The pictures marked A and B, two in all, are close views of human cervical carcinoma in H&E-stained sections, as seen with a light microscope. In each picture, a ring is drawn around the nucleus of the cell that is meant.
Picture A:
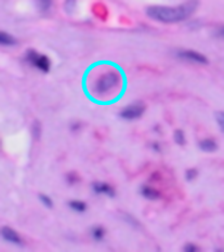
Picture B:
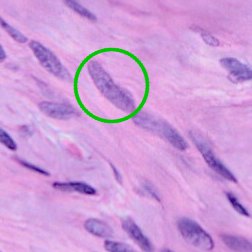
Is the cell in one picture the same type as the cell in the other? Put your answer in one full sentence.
No. Picture A shows a smooth muscle cell, but picture B shows a fibroblast.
